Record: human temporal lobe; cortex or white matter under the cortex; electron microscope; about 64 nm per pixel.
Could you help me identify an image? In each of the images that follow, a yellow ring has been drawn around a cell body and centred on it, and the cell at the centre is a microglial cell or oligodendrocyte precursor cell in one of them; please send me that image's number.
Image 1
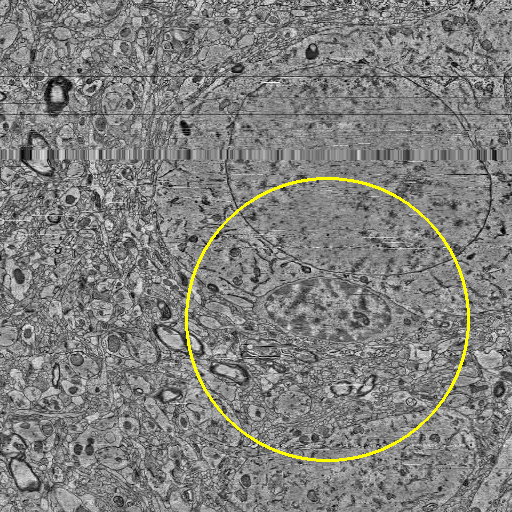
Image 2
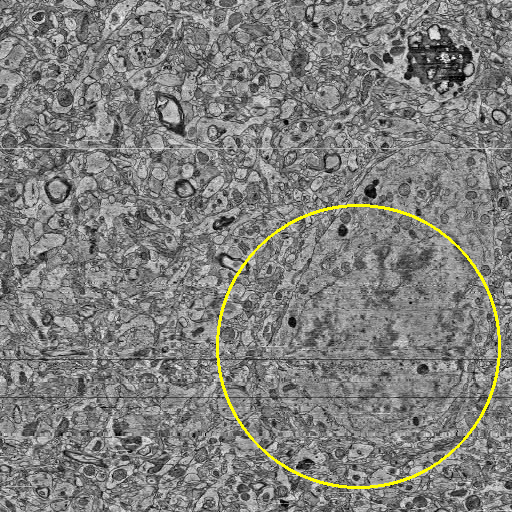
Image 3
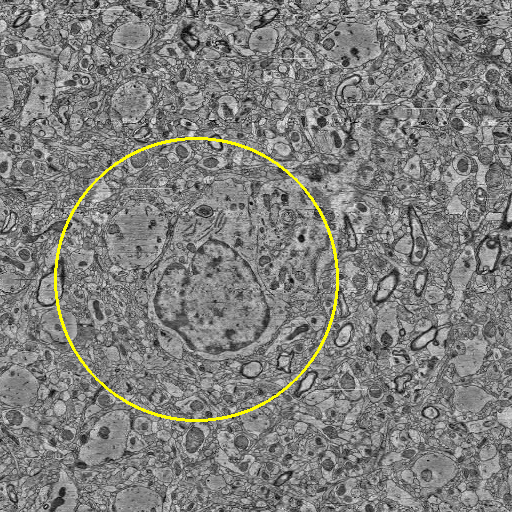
3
